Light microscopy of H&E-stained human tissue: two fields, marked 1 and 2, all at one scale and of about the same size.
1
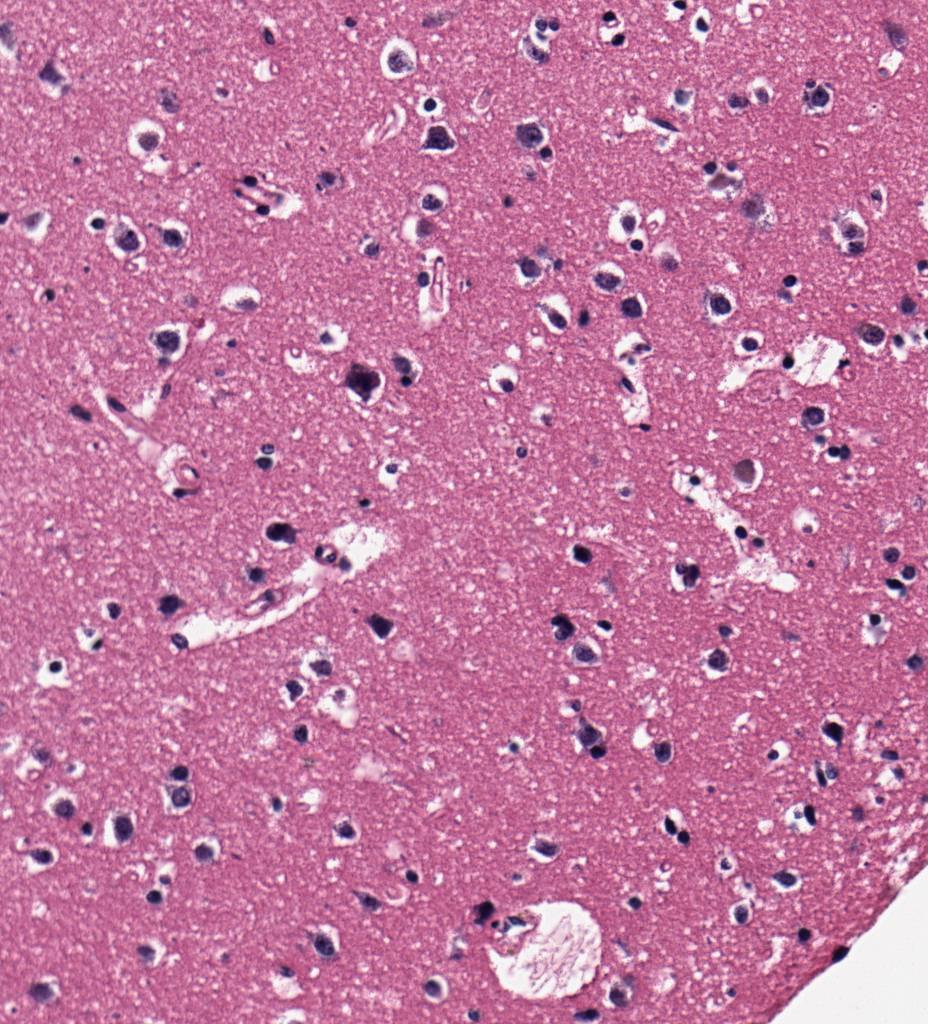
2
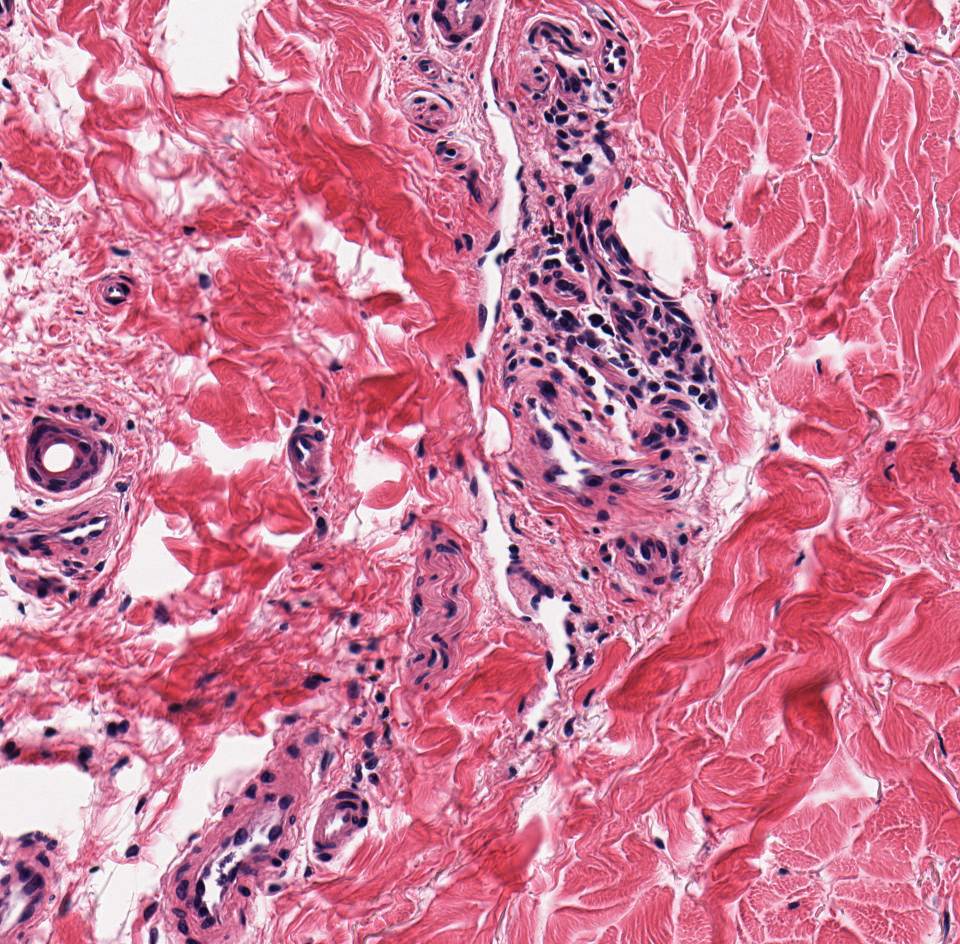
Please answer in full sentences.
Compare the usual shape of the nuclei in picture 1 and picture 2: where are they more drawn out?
Longer, more slender nuclei lie in picture 2.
